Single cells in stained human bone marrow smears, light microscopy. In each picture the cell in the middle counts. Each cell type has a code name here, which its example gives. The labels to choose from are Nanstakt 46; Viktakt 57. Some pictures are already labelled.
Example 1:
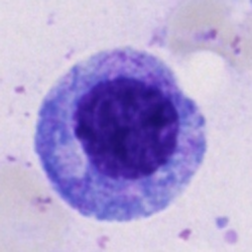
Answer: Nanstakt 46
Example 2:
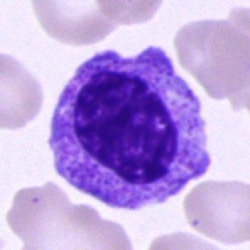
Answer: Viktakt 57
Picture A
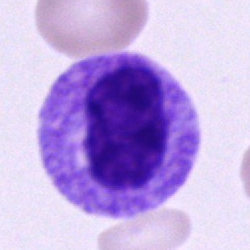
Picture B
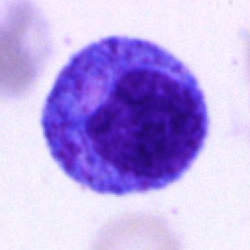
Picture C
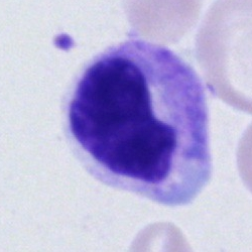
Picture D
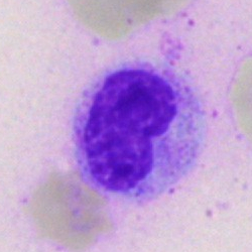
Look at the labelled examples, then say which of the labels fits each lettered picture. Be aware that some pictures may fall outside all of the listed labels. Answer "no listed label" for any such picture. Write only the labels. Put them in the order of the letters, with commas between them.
Viktakt 57, Nanstakt 46, no listed label, no listed label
